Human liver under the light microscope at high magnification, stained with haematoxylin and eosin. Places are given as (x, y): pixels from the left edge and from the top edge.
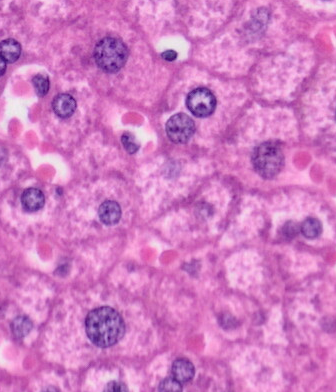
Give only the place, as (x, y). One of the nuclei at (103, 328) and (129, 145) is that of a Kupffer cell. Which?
(129, 145)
